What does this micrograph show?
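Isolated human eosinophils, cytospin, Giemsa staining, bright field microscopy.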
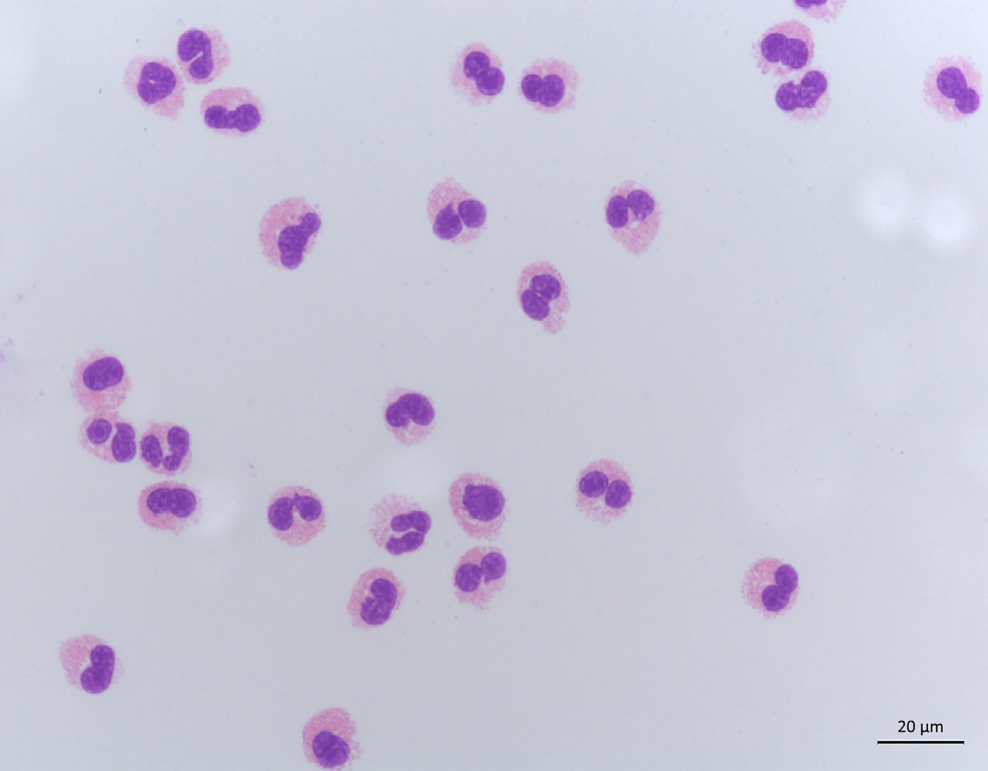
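Most have a dark purple nucleus of two rounded lobes lying side by side, giving a spectacle-like shape. The cells are of similar size and lie scattered singly or in small clusters.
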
